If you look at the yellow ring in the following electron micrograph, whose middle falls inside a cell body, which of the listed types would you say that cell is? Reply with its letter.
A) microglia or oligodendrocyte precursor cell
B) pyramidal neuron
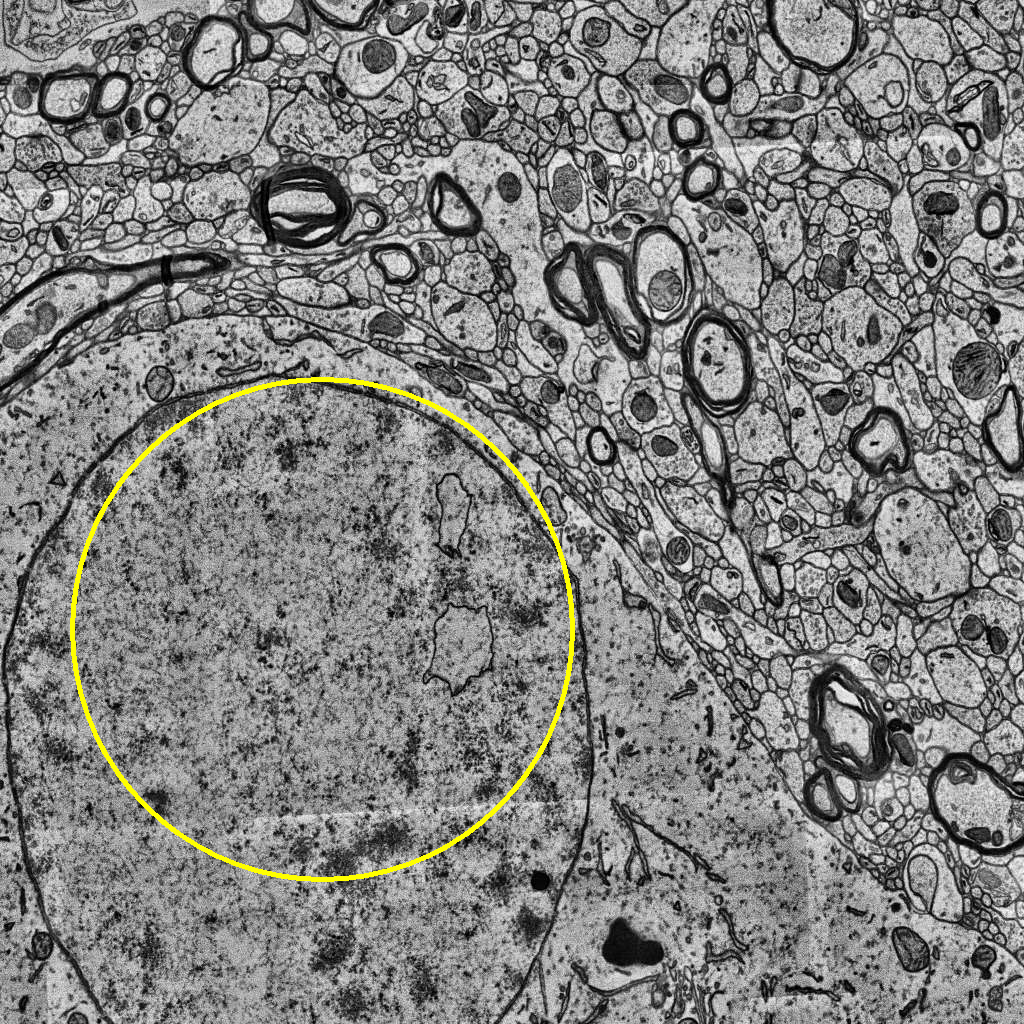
B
